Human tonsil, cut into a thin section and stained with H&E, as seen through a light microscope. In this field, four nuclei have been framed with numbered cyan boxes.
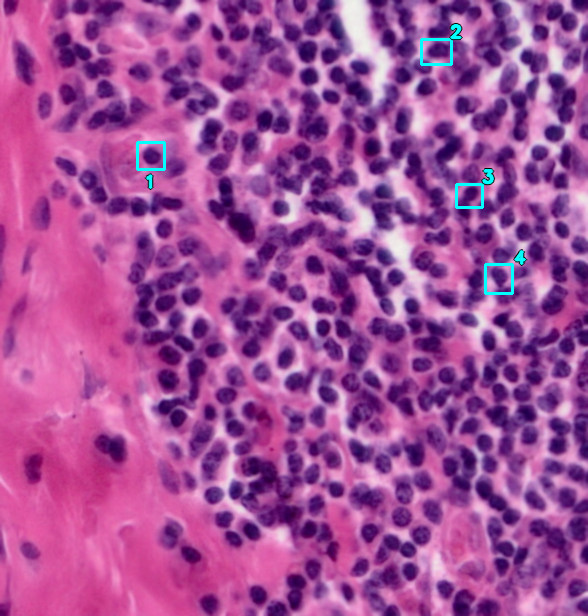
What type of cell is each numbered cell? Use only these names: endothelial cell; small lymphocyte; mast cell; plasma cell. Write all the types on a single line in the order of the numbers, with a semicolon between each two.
endothelial cell; small lymphocyte; small lymphocyte; small lymphocyte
